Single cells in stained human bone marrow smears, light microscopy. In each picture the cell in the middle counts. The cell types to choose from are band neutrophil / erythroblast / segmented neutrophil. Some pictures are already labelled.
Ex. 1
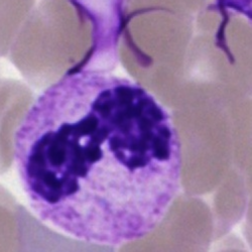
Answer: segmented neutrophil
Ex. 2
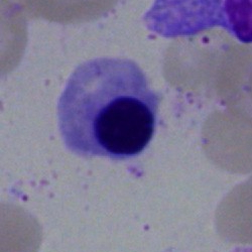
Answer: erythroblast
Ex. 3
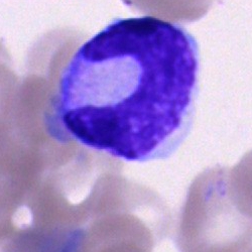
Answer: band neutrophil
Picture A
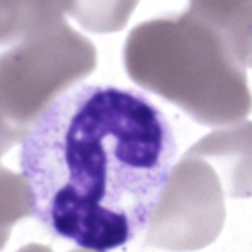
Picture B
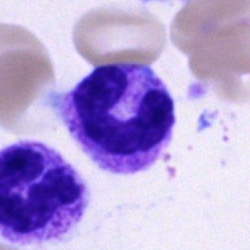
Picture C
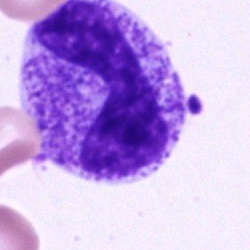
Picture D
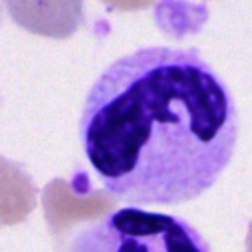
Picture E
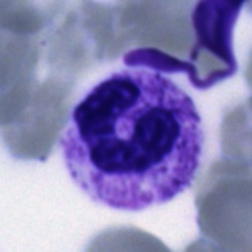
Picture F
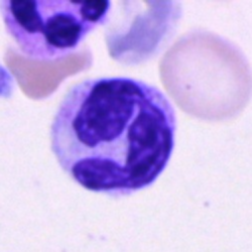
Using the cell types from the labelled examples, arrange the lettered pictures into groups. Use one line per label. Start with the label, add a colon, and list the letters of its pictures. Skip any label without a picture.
band neutrophil: B, C, D, E
segmented neutrophil: A, F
